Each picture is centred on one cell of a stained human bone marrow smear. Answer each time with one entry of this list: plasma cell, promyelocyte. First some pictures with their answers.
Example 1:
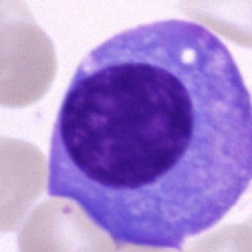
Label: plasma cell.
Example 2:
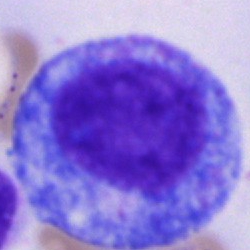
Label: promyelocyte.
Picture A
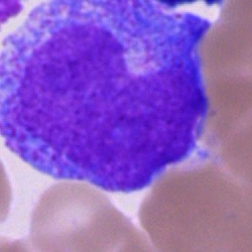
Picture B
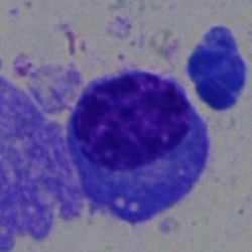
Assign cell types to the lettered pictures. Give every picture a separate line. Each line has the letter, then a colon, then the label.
A: promyelocyte.
B: plasma cell.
